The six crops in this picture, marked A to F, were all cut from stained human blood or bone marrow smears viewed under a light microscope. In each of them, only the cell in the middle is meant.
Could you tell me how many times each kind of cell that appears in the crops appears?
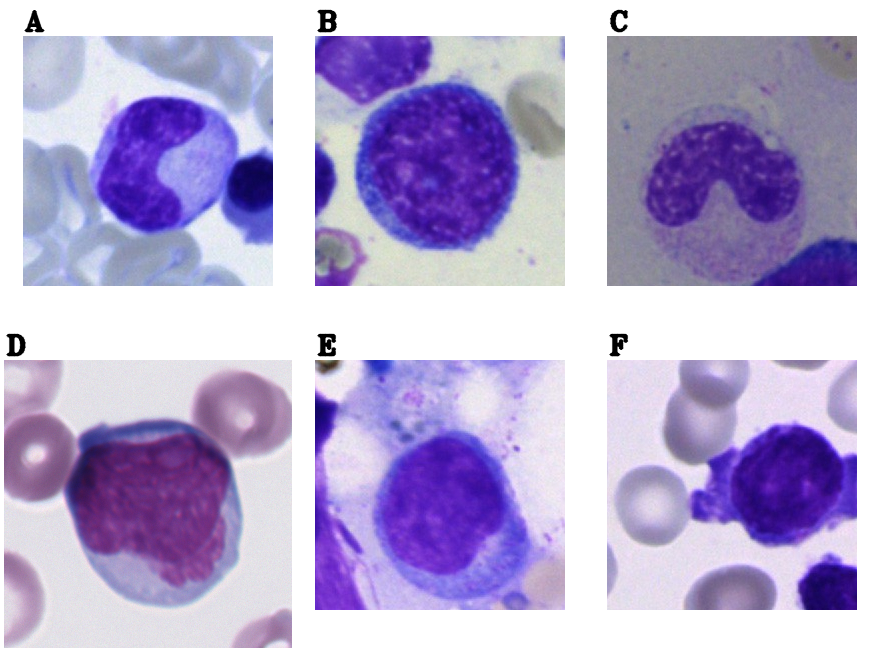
blast: 4
band neutrophil: 2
